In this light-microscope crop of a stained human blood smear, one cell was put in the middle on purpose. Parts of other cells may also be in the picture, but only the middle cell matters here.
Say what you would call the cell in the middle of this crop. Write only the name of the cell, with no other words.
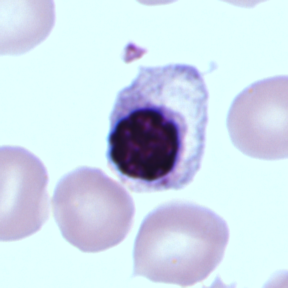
erythroblast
